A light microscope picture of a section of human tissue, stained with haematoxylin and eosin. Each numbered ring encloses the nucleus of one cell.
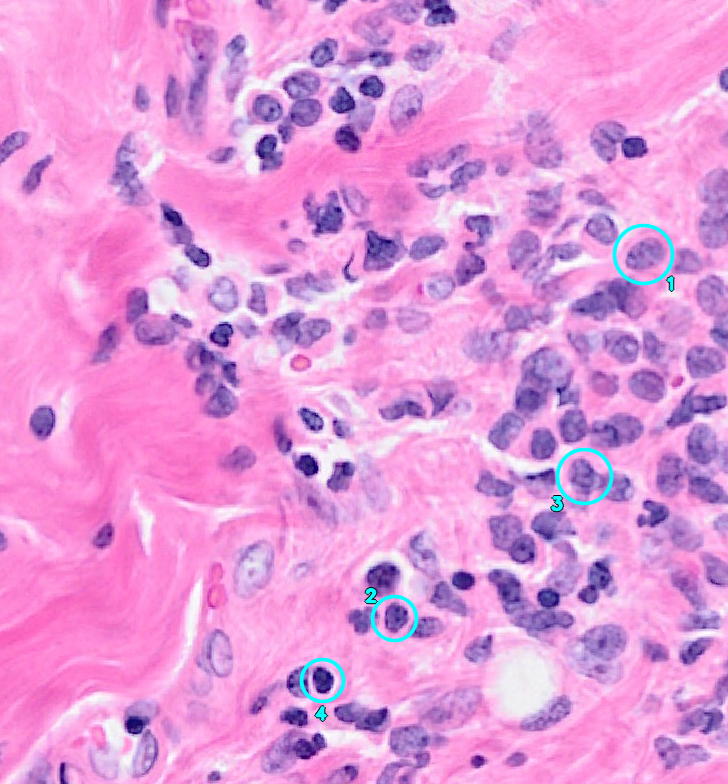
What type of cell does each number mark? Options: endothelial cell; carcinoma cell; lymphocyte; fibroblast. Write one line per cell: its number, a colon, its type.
1: carcinoma cell
2: lymphocyte
3: carcinoma cell
4: lymphocyte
